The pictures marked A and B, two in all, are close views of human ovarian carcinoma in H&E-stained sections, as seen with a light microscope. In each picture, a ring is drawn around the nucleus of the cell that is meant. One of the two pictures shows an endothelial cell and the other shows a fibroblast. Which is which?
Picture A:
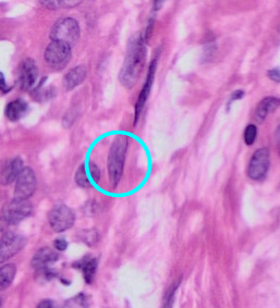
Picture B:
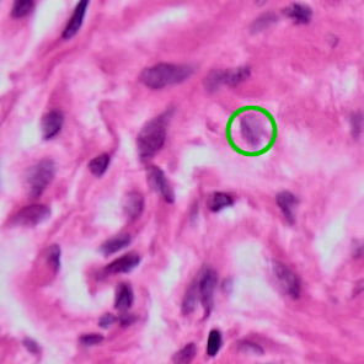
A: endothelial cell
B: fibroblast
